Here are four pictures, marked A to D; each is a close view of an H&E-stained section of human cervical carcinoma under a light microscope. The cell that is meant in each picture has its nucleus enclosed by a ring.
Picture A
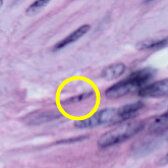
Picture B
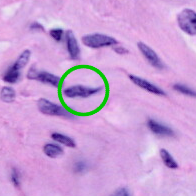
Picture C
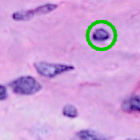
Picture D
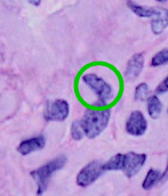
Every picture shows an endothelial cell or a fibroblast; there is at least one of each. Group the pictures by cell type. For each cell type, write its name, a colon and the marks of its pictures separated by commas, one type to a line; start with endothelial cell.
endothelial cell: A
fibroblast: B, C, D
